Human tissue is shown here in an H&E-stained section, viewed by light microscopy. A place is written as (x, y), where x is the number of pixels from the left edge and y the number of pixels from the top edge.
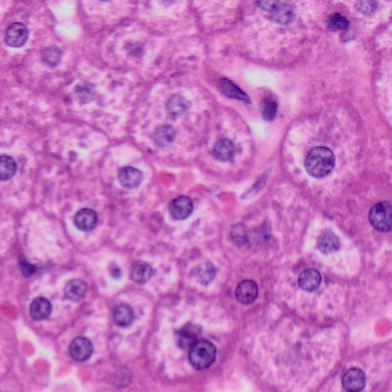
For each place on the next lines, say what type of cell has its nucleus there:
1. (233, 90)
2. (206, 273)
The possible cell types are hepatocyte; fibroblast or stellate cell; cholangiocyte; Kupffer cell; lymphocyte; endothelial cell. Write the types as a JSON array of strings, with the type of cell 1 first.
["Kupffer cell", "hepatocyte"]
